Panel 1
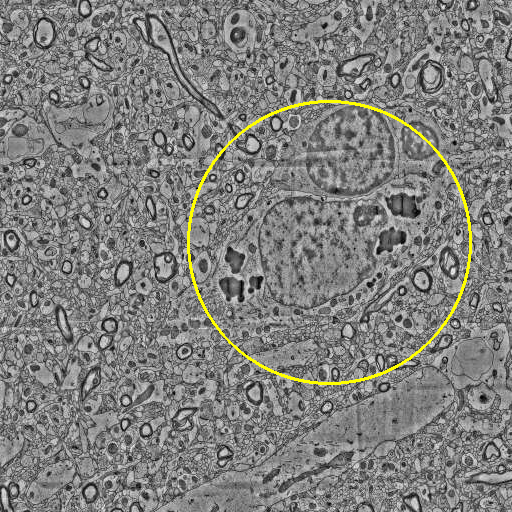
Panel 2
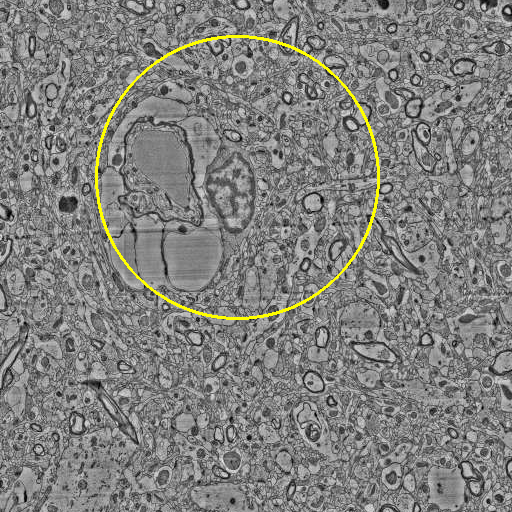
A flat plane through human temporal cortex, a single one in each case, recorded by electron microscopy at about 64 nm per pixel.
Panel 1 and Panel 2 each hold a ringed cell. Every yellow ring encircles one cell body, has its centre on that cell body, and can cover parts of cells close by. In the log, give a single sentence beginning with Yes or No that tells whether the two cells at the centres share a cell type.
No, in Panel 1 and Panel 2 the centred cells are of two cell types.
